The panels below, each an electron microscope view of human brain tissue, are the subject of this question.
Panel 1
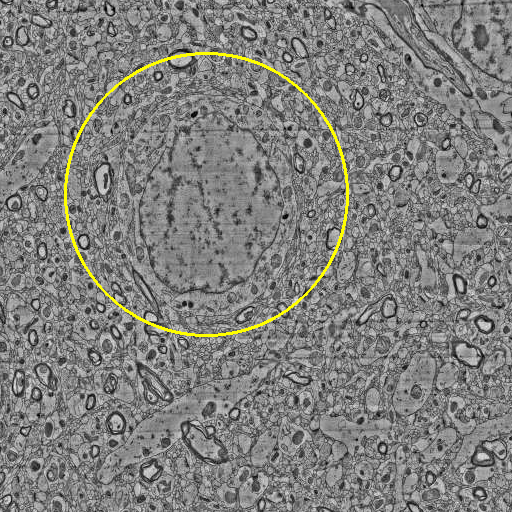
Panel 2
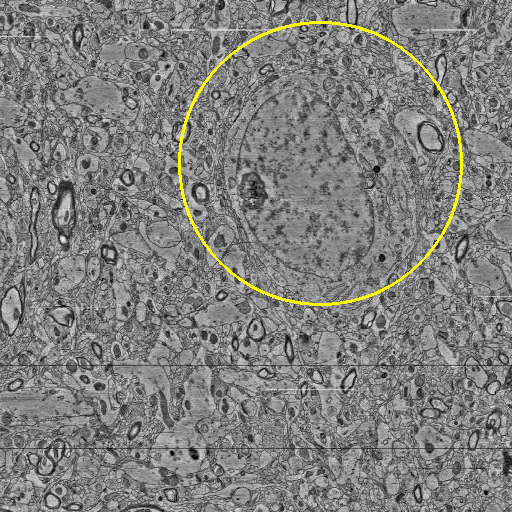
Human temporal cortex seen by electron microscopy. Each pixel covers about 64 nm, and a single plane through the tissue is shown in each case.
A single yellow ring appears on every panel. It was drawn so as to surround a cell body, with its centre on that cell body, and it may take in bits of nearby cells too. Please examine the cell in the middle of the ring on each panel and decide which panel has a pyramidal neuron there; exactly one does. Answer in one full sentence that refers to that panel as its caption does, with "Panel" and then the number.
Panel 1 is where the ring's central cell answers the question.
